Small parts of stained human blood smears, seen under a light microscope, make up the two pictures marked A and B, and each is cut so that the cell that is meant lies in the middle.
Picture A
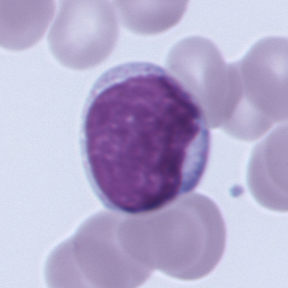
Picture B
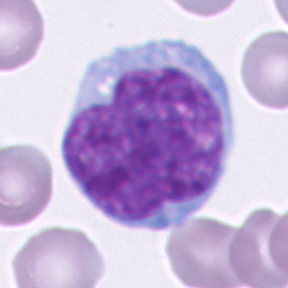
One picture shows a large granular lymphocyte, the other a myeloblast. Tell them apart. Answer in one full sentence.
Picture A is of a large granular lymphocyte, and picture B is of a myeloblast.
